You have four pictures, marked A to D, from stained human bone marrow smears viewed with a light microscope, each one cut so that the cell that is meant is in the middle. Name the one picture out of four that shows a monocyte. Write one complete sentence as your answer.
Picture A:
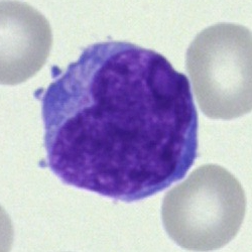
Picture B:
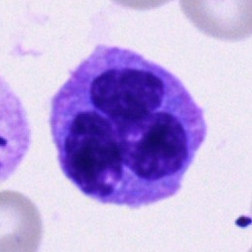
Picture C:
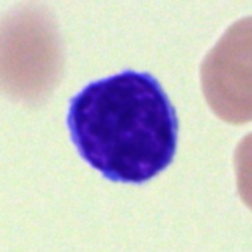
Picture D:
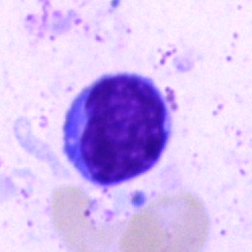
The cell in picture B is the monocyte.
